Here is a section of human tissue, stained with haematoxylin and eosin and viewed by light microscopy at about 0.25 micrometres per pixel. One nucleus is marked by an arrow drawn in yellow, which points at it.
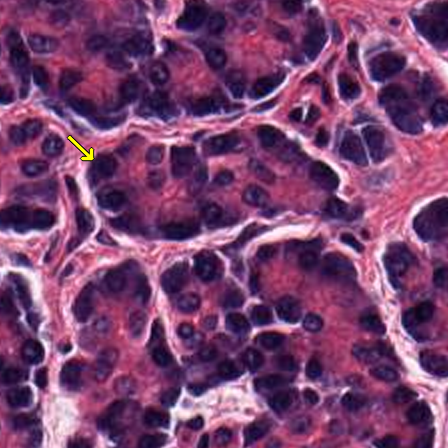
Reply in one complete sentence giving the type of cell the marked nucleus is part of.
Belonging to a pancreatic acinar cell is the marked nucleus.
